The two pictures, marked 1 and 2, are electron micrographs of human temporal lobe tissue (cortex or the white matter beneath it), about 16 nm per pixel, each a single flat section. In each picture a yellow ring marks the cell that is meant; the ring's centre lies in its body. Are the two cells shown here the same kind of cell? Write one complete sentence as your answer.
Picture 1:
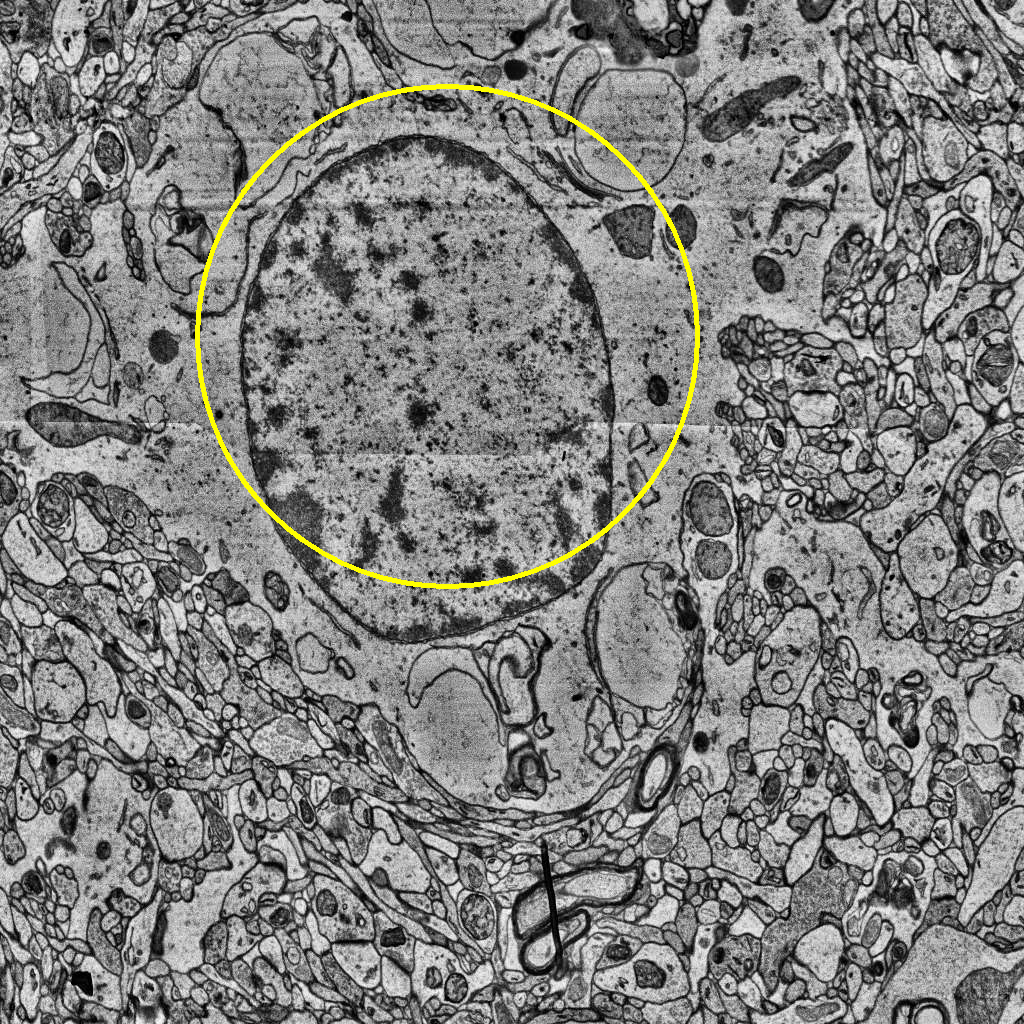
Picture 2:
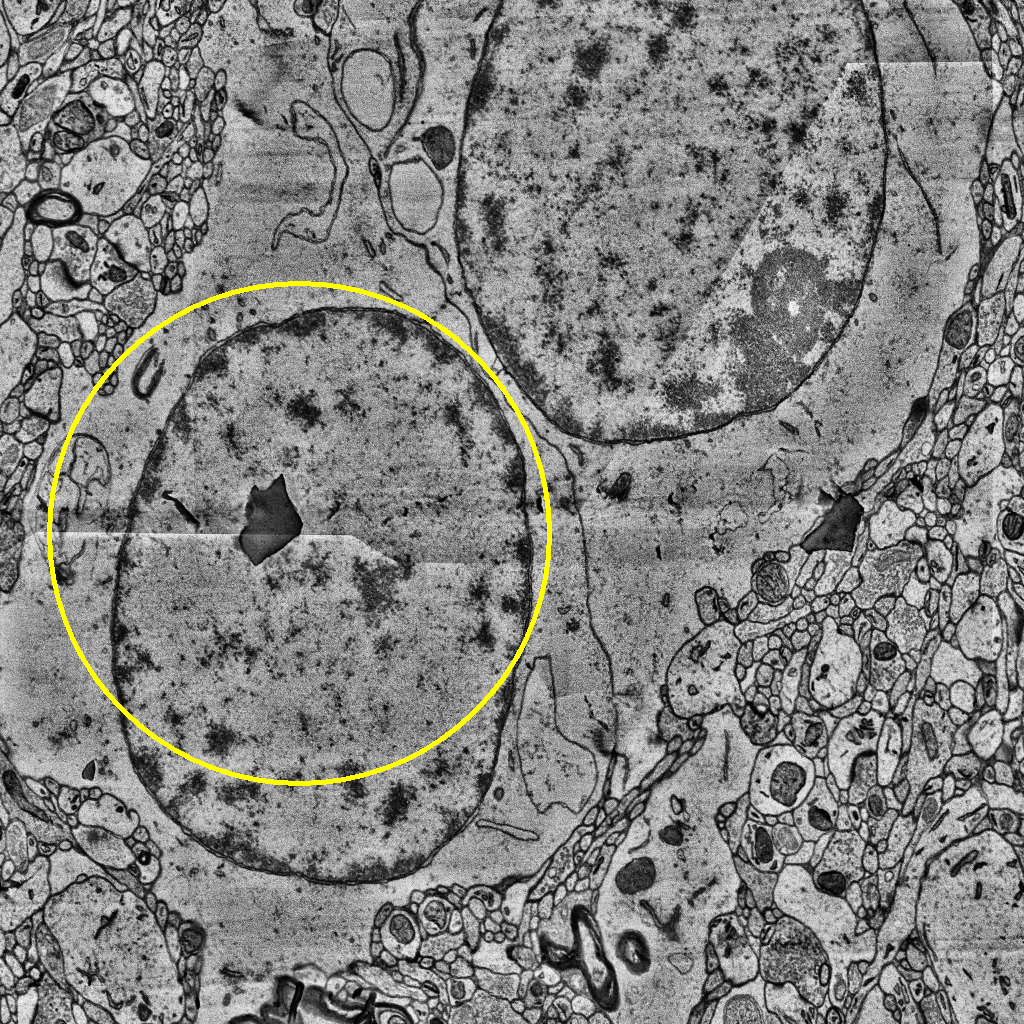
Yes, the two pictures both show astrocytes.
